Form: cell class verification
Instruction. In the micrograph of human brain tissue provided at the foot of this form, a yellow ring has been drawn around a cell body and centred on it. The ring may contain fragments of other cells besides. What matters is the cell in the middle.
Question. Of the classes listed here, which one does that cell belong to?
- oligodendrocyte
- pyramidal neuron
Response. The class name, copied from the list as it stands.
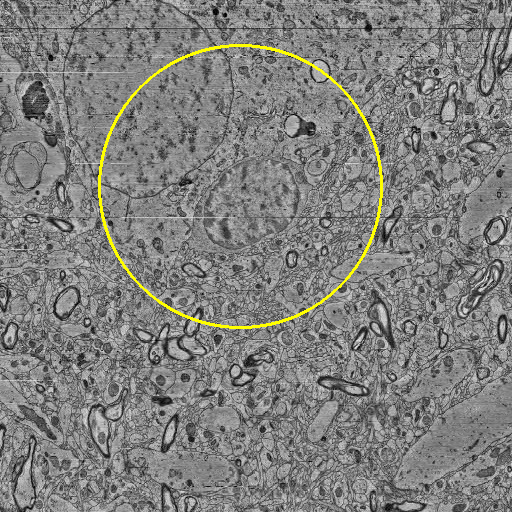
oligodendrocyte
